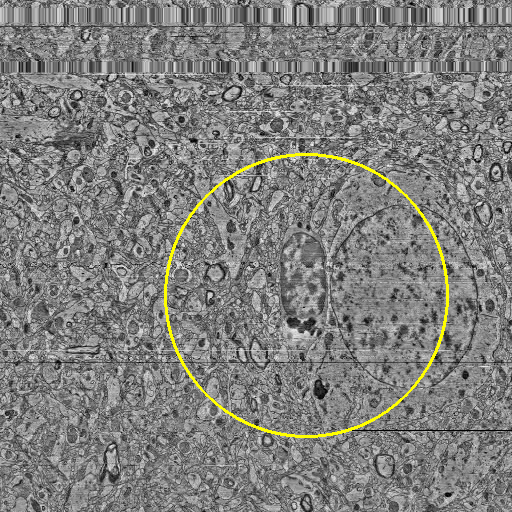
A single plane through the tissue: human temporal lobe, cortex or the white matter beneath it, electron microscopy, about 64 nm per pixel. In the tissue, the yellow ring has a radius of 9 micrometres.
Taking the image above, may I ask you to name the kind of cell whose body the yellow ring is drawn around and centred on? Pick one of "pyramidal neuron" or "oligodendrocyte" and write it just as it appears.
oligodendrocyte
